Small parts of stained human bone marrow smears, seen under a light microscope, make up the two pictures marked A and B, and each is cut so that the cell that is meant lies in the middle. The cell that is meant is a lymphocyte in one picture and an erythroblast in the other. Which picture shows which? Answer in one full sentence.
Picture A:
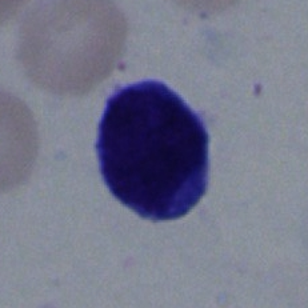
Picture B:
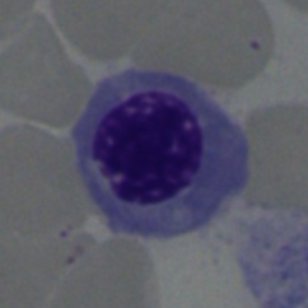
Picture B shows an erythroblast, while picture A shows a lymphocyte.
